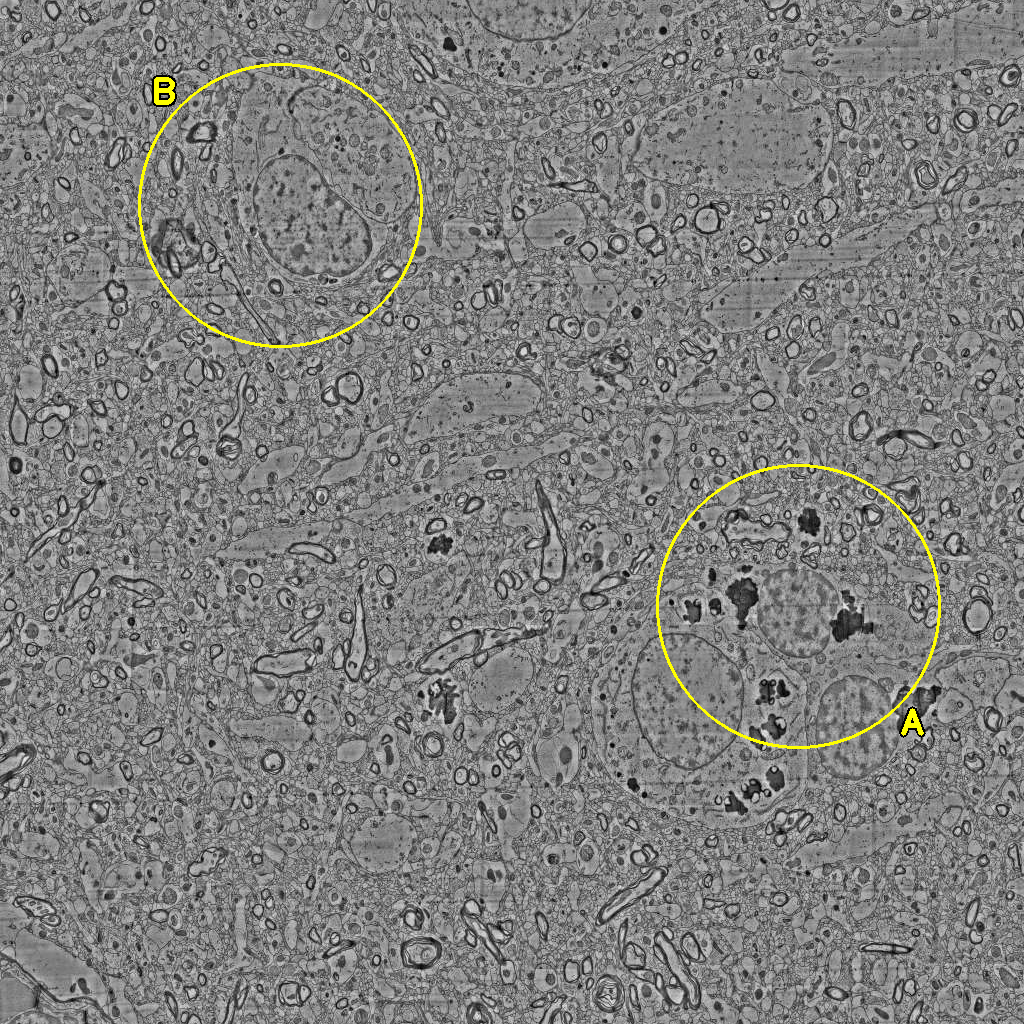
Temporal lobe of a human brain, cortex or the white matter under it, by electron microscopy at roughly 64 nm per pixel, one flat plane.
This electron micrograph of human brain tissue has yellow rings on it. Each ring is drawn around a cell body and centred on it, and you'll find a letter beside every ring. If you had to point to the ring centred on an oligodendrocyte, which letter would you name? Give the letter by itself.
A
